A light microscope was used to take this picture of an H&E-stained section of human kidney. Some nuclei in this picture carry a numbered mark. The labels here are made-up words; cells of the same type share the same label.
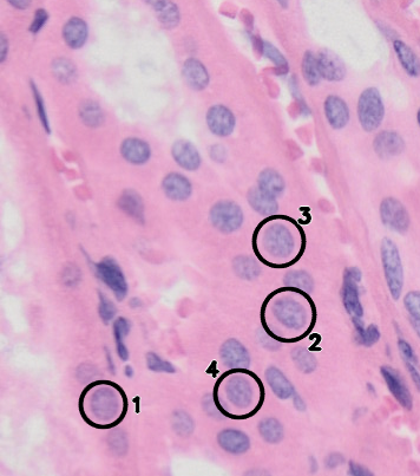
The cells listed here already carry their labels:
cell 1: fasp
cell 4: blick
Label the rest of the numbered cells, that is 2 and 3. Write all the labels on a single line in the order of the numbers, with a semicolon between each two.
blick; blick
